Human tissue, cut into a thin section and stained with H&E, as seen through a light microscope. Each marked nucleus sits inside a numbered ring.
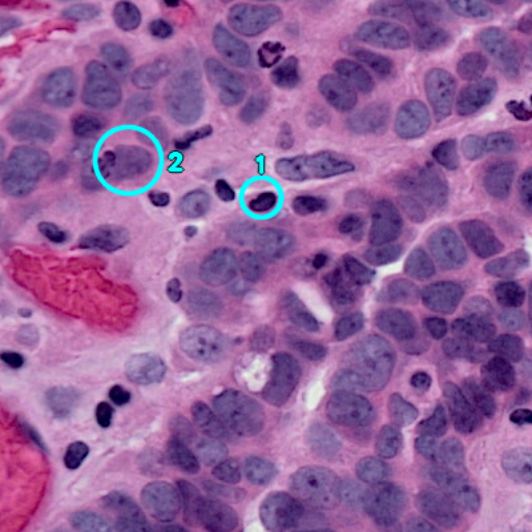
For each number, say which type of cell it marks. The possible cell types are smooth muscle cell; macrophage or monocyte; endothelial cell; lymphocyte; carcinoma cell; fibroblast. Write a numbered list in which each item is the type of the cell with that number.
1. lymphocyte
2. carcinoma cell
